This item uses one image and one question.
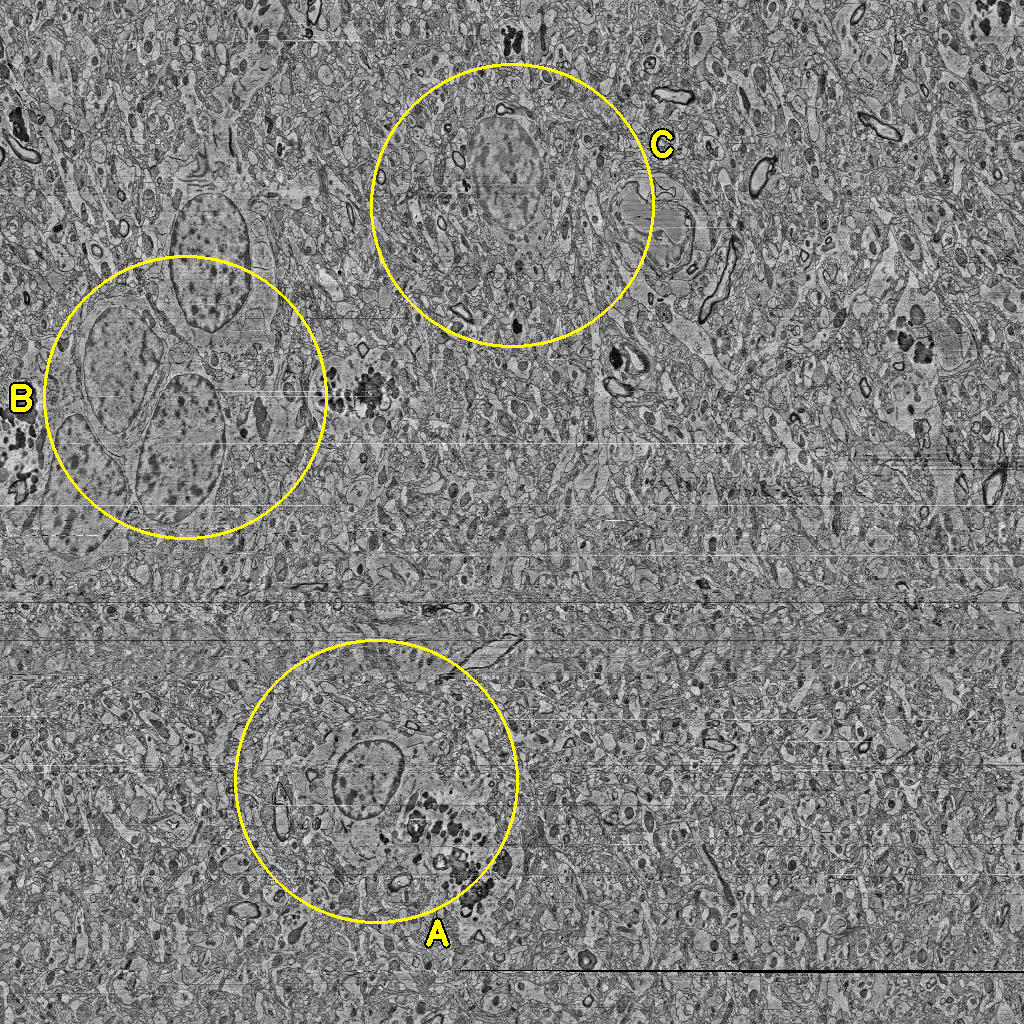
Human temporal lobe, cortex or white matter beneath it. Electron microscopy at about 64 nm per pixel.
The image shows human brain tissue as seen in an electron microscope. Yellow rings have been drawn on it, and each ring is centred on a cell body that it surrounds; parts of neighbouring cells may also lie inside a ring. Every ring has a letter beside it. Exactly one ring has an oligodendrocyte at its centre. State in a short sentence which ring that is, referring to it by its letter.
Ring C has that cell at its centre.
